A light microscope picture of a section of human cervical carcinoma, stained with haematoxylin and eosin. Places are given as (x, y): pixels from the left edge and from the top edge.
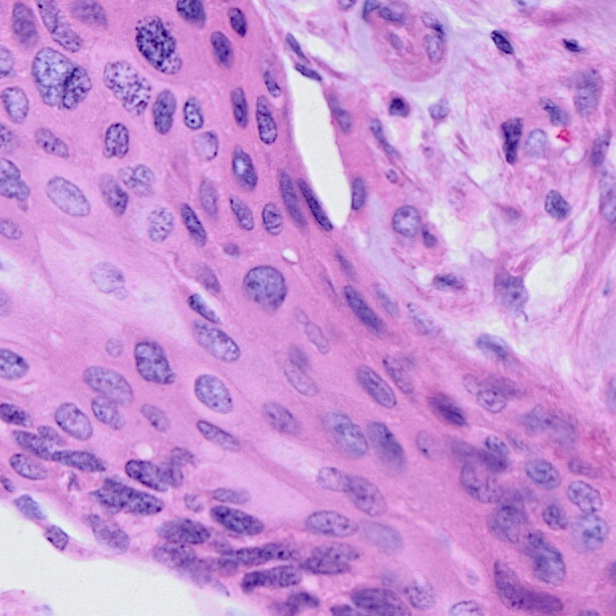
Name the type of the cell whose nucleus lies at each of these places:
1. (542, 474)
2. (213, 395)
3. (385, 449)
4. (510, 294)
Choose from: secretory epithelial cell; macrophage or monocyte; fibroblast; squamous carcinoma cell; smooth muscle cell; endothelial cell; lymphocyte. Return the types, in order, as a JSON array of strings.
["squamous carcinoma cell", "squamous carcinoma cell", "squamous carcinoma cell", "fibroblast"]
